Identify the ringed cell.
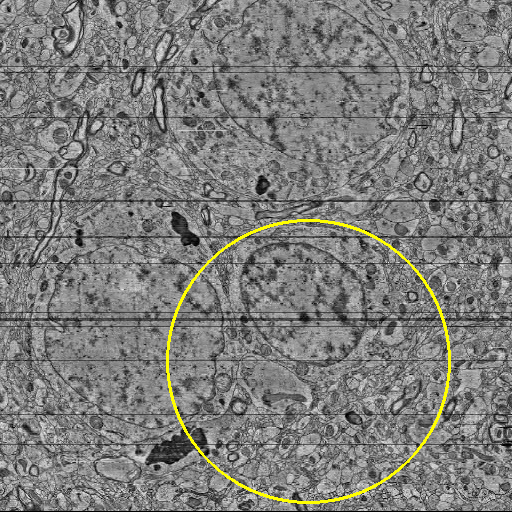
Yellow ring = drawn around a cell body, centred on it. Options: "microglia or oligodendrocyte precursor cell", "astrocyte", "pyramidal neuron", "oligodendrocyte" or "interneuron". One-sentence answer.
What the ring is centred on is an interneuron.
